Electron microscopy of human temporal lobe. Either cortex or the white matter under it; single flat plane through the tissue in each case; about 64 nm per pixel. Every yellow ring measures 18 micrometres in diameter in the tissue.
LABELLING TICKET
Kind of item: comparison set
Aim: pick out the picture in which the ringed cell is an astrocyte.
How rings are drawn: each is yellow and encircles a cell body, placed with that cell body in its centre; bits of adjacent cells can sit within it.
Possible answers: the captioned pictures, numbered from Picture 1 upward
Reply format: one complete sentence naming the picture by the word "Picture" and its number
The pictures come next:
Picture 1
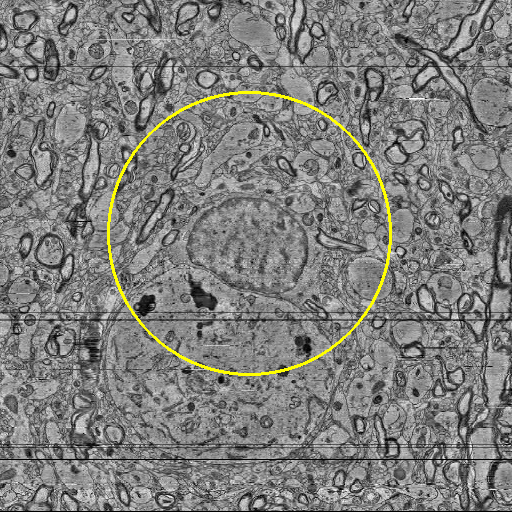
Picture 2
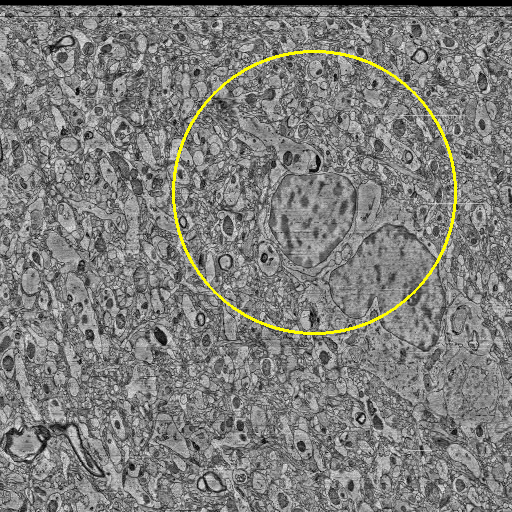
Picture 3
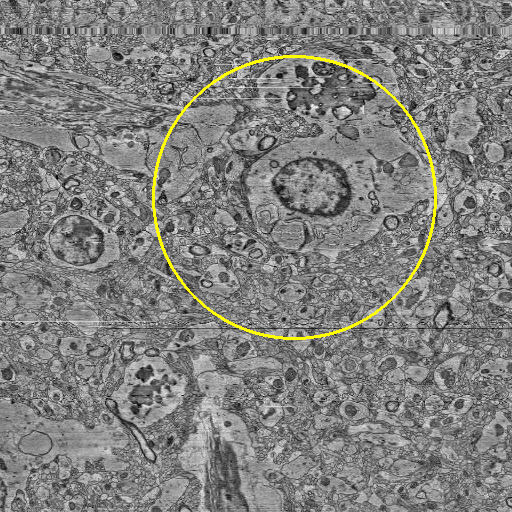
The cell centred inside the yellow ring in Picture 3 is the requested one.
